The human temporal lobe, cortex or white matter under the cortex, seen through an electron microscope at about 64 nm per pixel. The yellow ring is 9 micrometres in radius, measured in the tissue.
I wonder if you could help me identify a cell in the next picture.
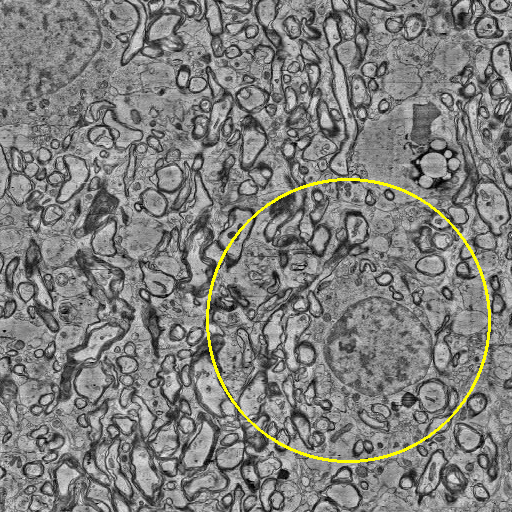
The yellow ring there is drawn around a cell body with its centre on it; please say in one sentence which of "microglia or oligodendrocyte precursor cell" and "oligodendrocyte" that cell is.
The yellow ring is centred on an oligodendrocyte.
